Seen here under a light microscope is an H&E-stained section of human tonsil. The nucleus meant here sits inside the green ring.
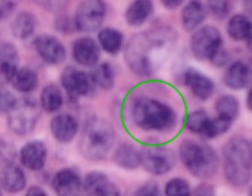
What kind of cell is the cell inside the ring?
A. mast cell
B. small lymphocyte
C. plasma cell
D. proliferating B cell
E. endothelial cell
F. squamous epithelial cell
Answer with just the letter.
D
